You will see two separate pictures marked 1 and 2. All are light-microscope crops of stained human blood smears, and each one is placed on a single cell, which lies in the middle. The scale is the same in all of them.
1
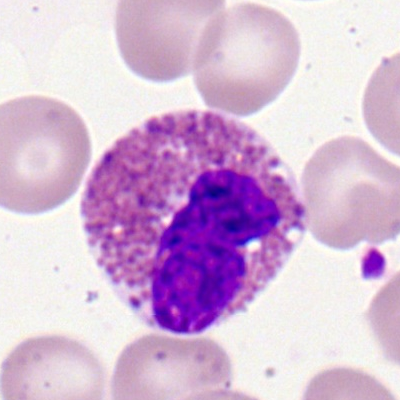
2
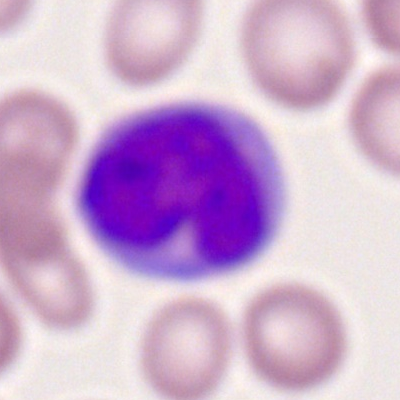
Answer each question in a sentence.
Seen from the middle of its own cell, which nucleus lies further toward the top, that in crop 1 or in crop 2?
The nucleus in crop 2 lies further toward the top of its cell.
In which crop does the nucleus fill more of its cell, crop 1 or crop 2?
Of the two, the nucleus in crop 2 makes up the greater part of its cell.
